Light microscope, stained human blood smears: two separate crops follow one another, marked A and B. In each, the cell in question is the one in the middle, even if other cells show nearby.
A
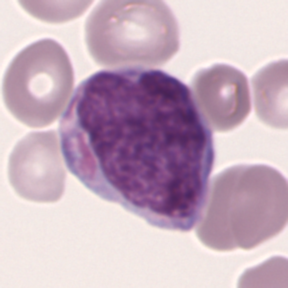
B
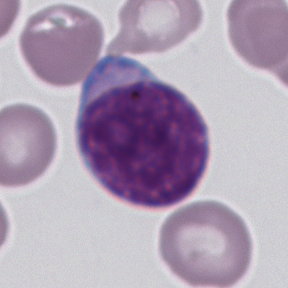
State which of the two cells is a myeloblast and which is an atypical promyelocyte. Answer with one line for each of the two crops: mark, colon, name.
A: atypical promyelocyte
B: myeloblast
